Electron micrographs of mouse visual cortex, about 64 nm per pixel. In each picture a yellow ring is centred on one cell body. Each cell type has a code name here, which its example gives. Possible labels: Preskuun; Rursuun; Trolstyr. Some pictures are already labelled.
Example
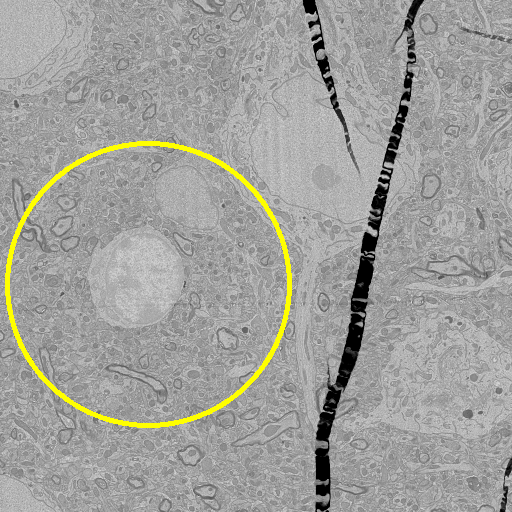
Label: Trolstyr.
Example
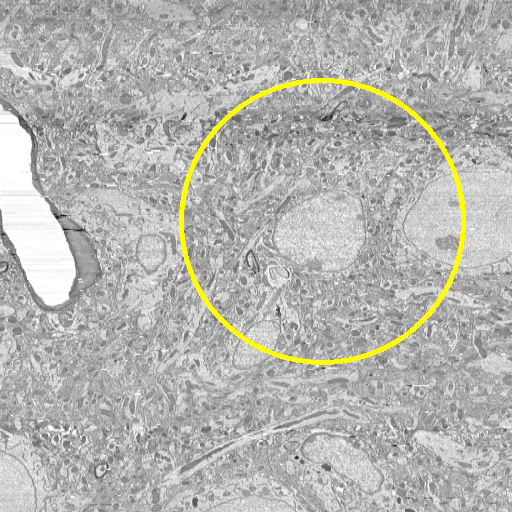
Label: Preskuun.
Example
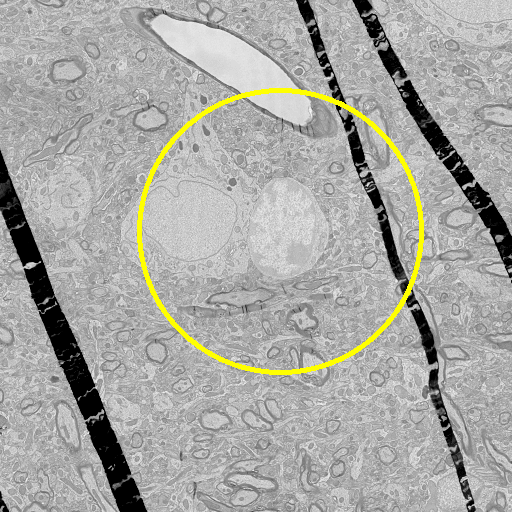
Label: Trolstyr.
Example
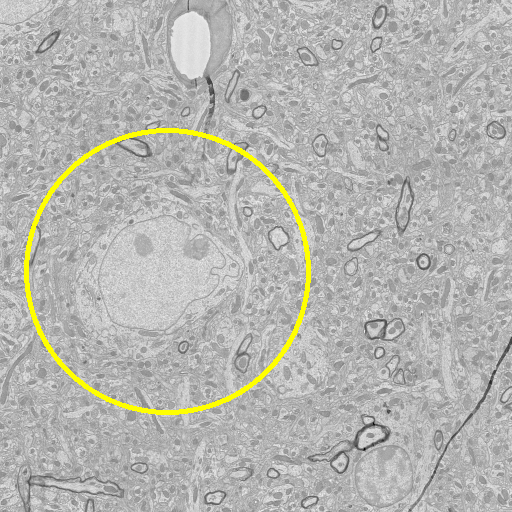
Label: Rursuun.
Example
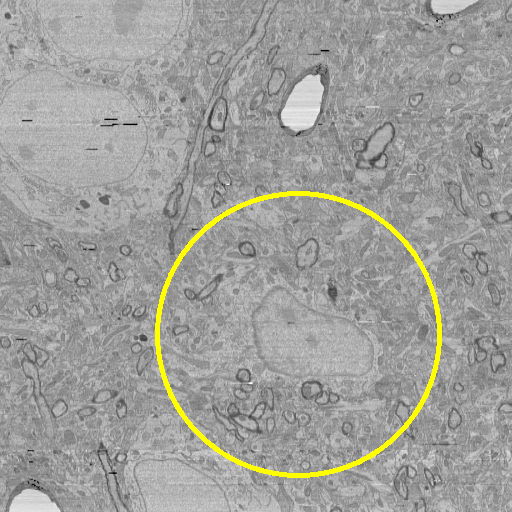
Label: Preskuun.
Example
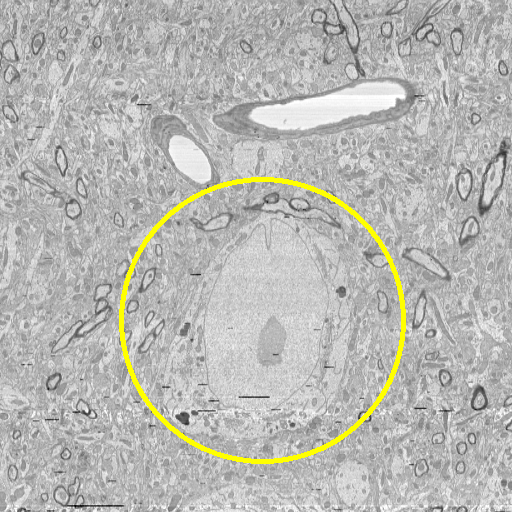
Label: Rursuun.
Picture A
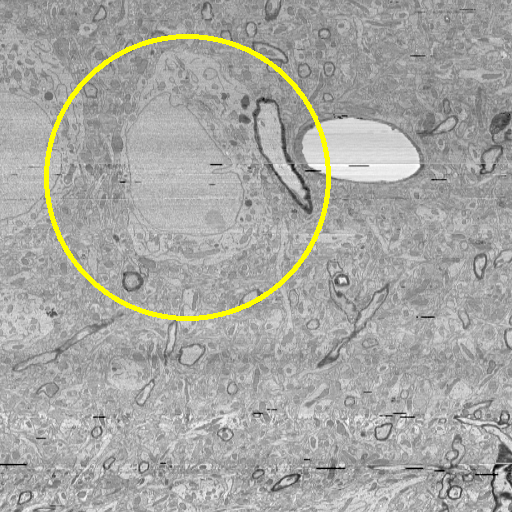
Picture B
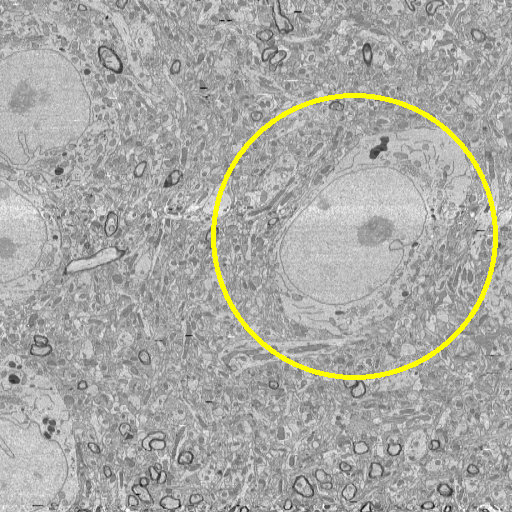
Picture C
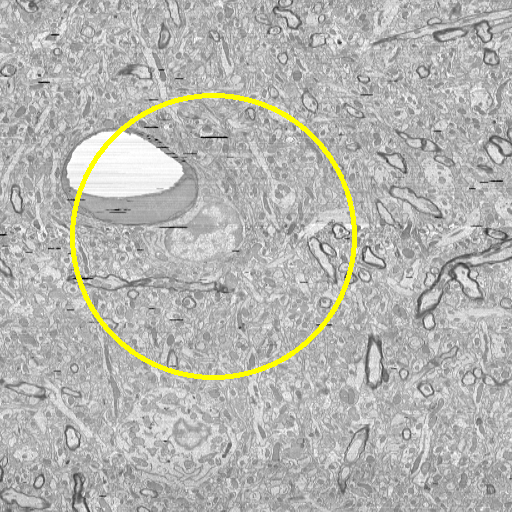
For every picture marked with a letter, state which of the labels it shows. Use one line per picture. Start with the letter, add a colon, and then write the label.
A: Rursuun.
B: Rursuun.
C: Trolstyr.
